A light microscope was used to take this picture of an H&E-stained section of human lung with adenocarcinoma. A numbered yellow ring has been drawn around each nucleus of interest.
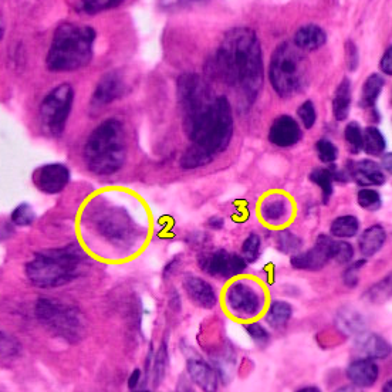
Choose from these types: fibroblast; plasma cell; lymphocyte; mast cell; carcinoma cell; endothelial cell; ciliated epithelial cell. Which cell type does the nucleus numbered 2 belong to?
carcinoma cell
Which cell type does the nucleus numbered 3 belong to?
lymphocyte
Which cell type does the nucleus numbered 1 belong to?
lymphocyte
